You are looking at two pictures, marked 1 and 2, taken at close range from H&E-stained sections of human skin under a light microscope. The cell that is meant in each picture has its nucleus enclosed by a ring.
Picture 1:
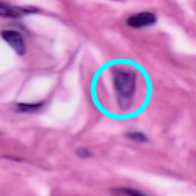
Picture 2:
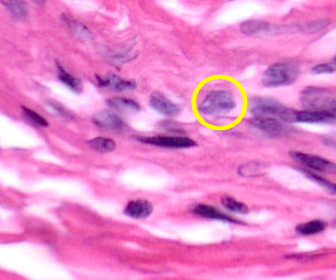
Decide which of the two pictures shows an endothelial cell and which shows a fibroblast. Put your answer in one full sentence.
Picture 1 shows a fibroblast and picture 2 shows an endothelial cell.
